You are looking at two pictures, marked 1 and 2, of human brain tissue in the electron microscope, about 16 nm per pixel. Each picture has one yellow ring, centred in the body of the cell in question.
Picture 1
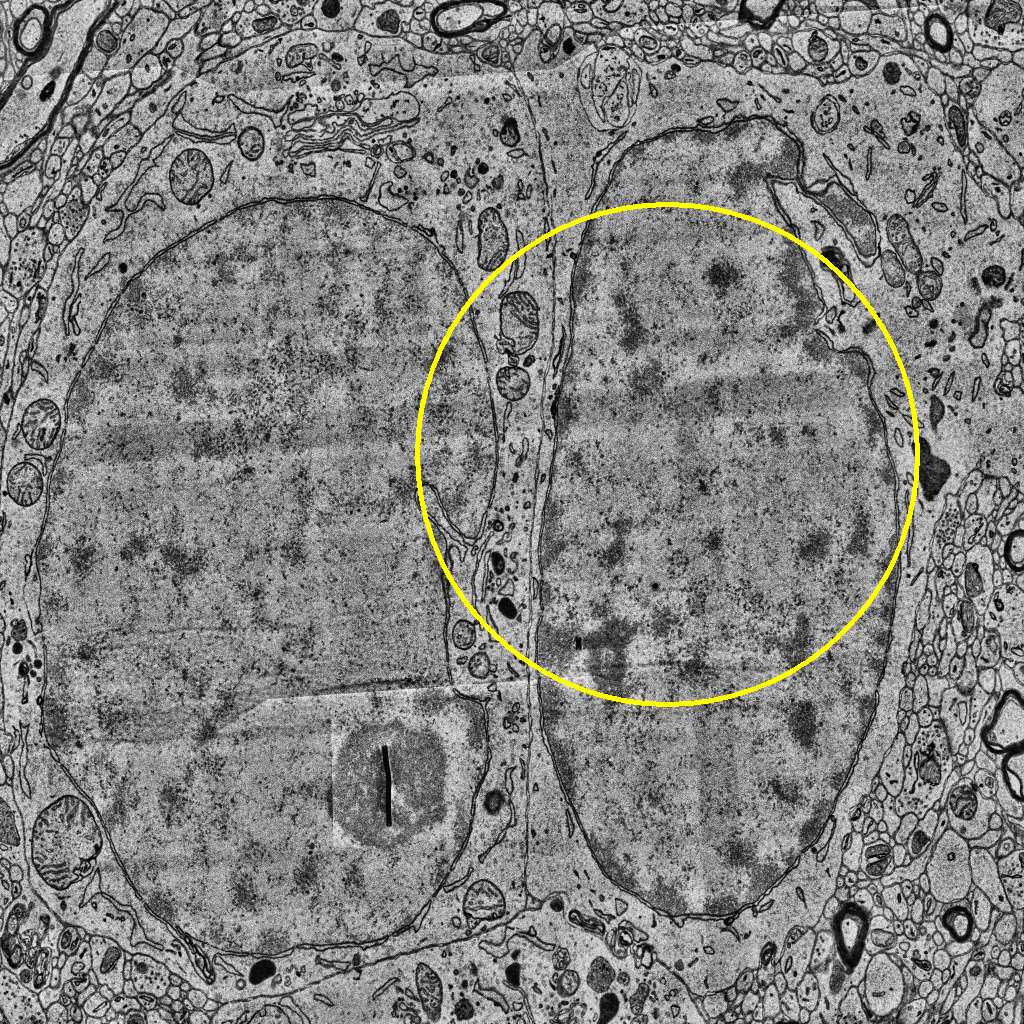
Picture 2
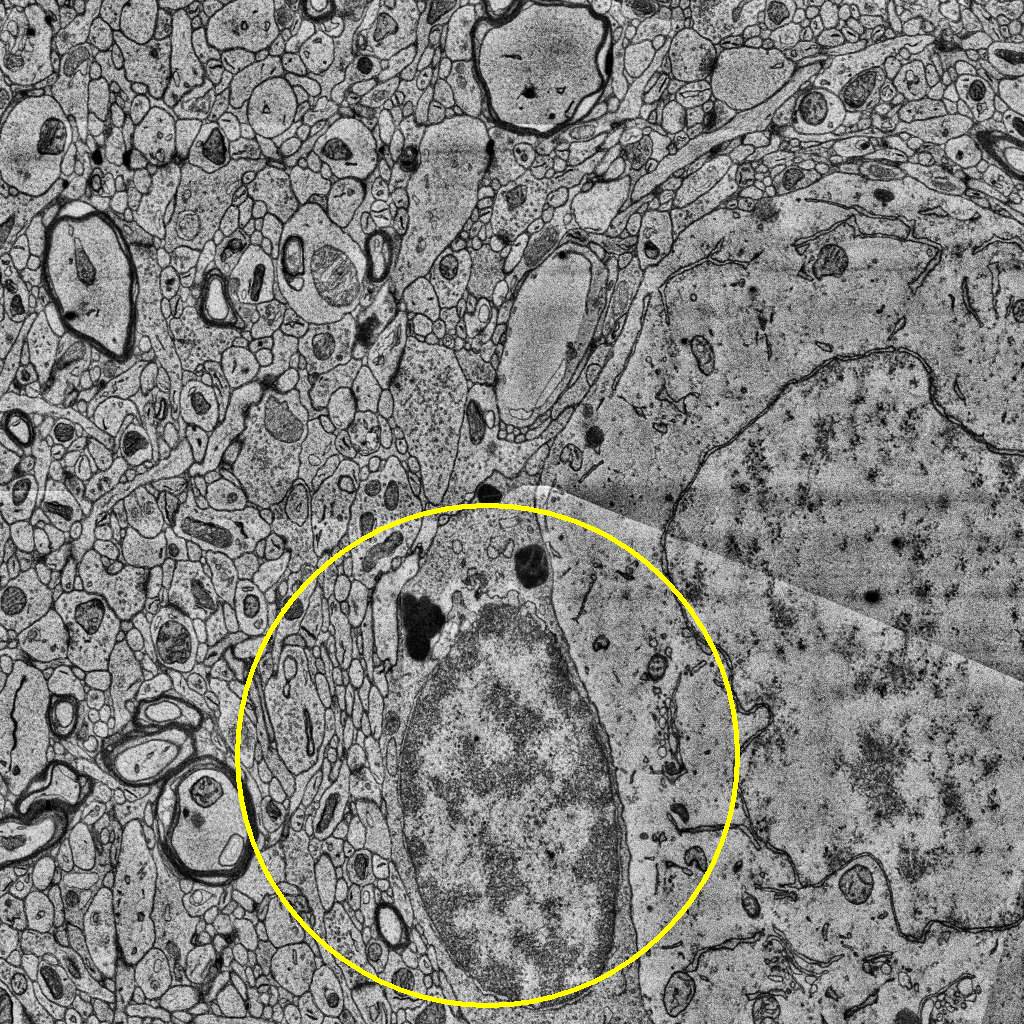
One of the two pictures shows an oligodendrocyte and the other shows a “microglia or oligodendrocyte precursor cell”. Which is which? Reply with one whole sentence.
In picture 1 the cell is a “microglia or oligodendrocyte precursor cell”; in picture 2, an oligodendrocyte.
